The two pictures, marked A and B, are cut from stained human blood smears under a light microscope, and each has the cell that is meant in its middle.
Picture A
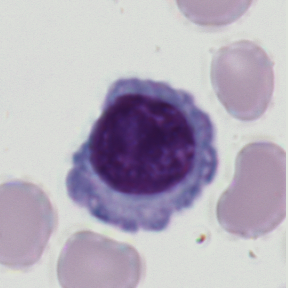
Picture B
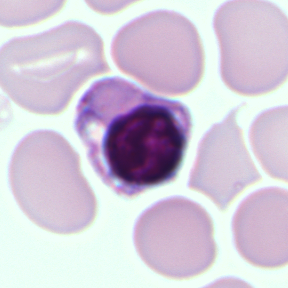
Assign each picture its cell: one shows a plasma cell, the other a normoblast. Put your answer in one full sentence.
In picture A the cell is a plasma cell; in picture B, a normoblast.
